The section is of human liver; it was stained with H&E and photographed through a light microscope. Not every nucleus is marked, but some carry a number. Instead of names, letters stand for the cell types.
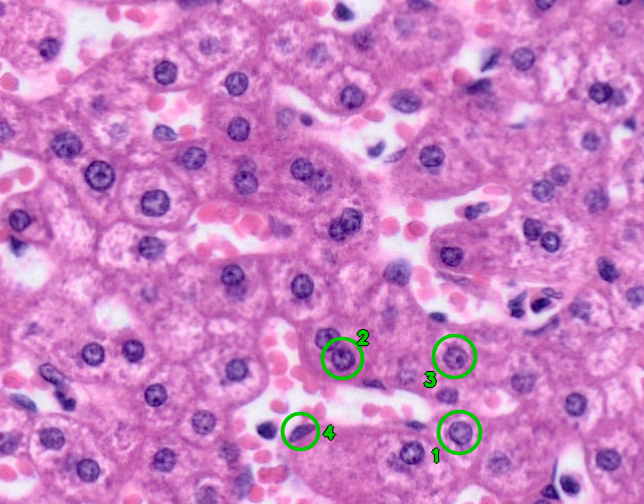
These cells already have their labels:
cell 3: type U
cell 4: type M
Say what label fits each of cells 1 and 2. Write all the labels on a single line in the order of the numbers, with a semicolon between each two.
type U; type U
